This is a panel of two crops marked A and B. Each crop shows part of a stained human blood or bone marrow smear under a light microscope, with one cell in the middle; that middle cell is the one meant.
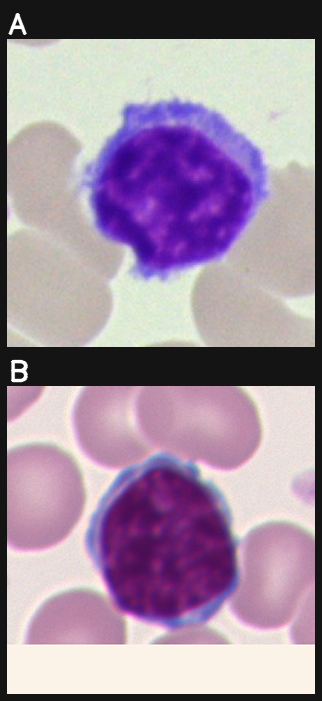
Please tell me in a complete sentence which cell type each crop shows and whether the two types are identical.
Yes, the first and the second crop both show lymphocytes.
